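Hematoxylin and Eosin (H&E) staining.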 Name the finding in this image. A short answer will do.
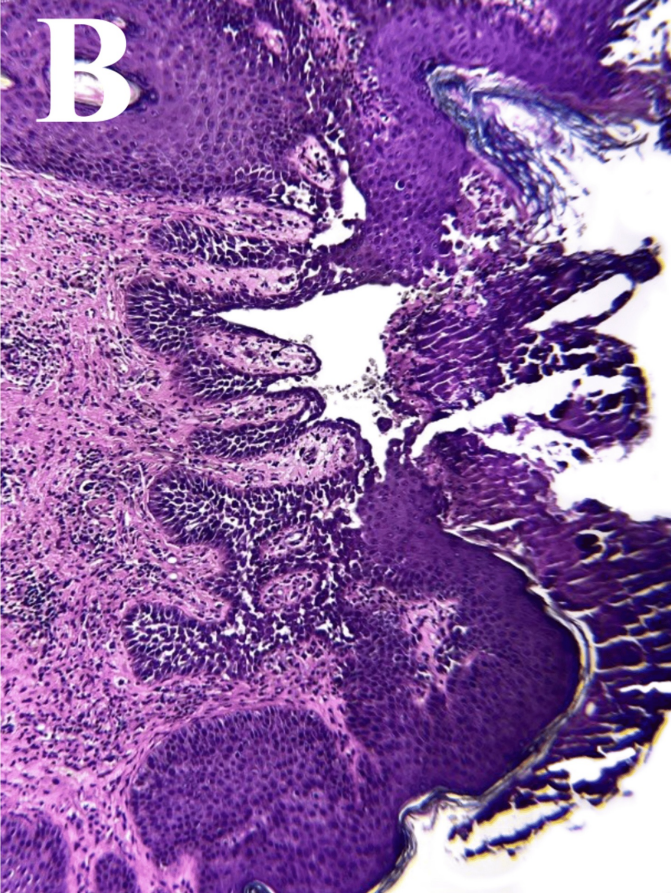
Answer: Dilapidated brick appearance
